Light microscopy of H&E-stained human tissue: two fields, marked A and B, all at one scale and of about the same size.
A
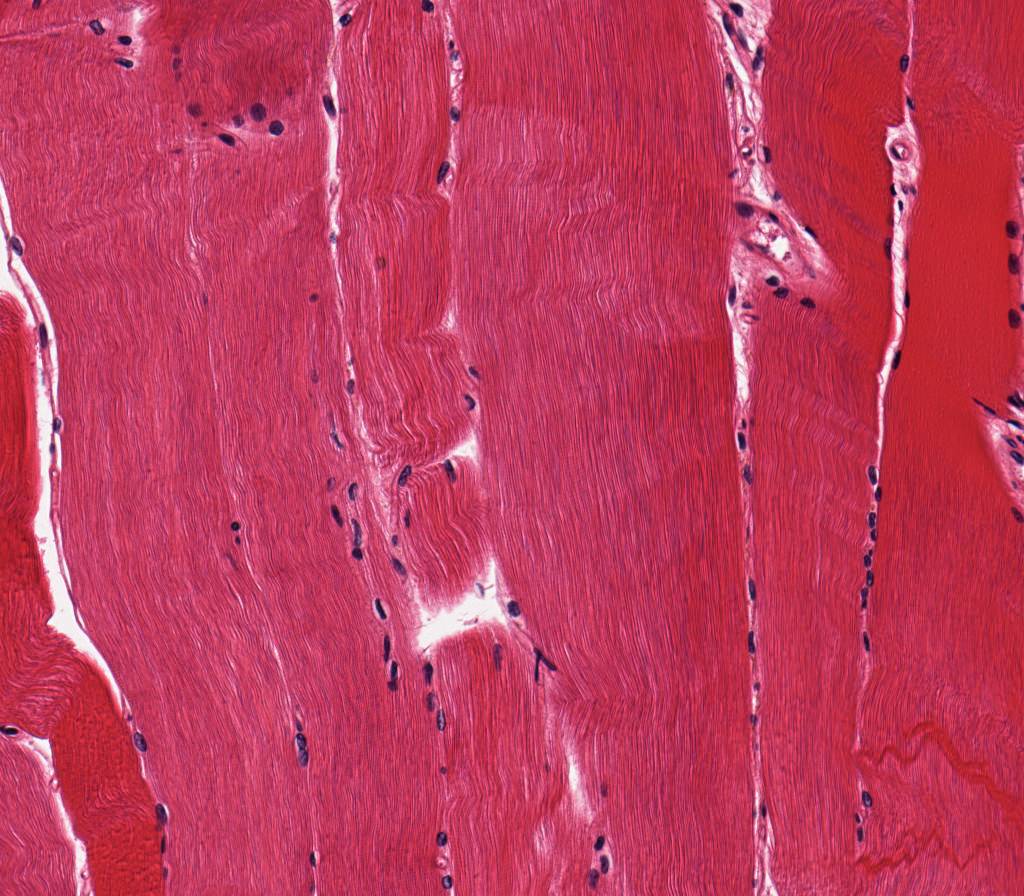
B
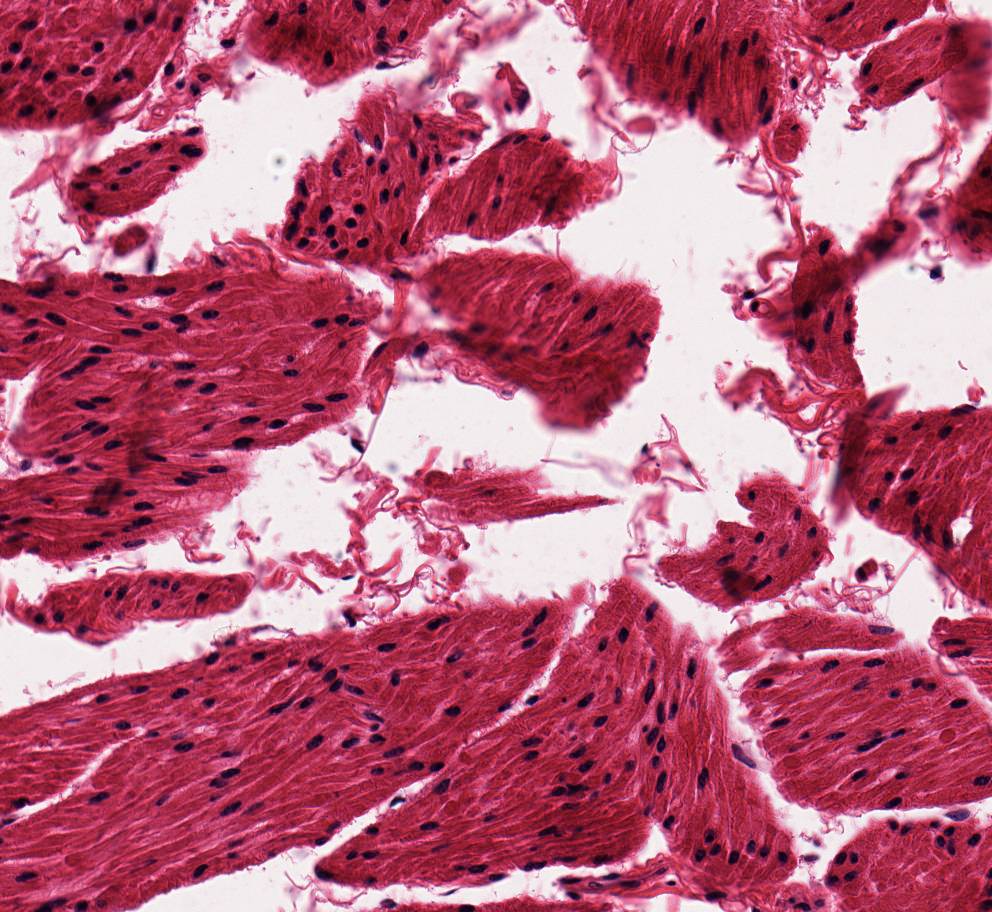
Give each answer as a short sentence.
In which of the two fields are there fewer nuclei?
Field A holds fewer nuclei than field B.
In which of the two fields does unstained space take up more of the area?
Field B has more white space.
